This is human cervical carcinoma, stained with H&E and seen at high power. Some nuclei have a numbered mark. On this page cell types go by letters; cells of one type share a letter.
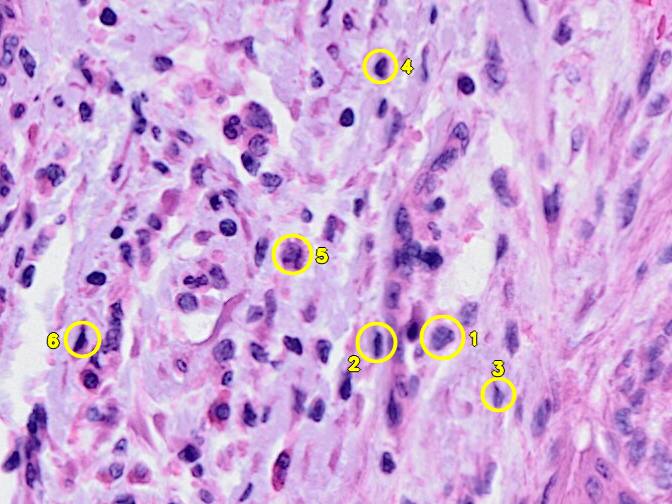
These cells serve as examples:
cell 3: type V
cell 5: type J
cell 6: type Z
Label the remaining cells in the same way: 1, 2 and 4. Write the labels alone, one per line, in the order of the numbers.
type Z
type Z
type Z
